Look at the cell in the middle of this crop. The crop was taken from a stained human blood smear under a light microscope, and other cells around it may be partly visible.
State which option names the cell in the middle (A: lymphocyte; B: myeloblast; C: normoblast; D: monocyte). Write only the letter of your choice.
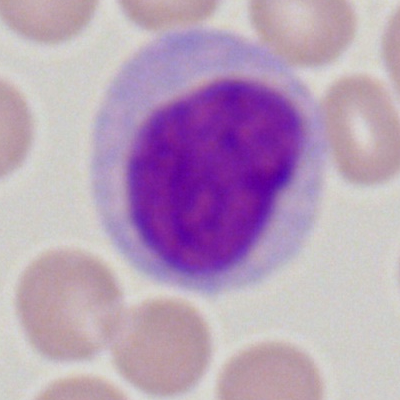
B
